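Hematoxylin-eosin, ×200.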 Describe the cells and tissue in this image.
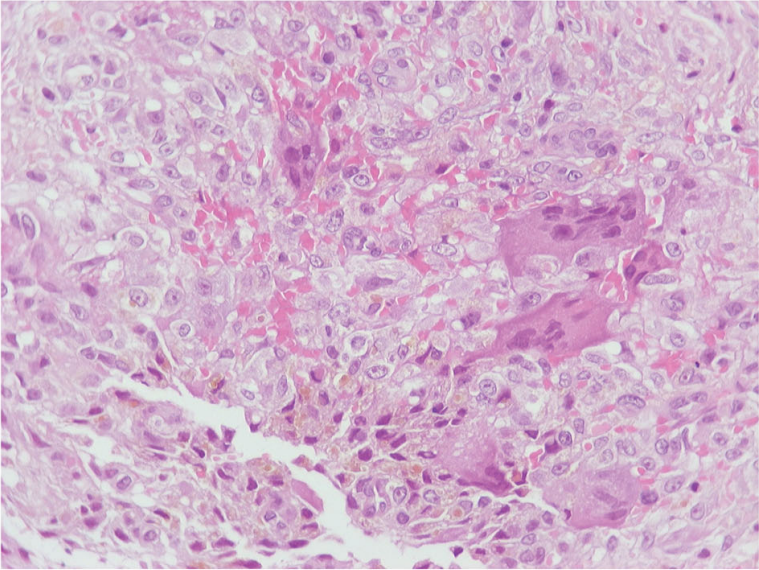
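This field of a tumour shows ovoid and round neoplastic cells with oval, vesicular nuclei and moderate amounts of pale pink cytoplasm, packed in sheets. Scattered among them are several large osteoclast-like giant cells, each with abundant deep pink cytoplasm and a cluster of many nuclei. Bright red extravasated blood lies between the cells in the upper and central part of the field. Towards the bottom, granular golden-brown pigment consistent with hemosiderin is deposited among the cells. A narrow cleft-like empty space crosses the lower left.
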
